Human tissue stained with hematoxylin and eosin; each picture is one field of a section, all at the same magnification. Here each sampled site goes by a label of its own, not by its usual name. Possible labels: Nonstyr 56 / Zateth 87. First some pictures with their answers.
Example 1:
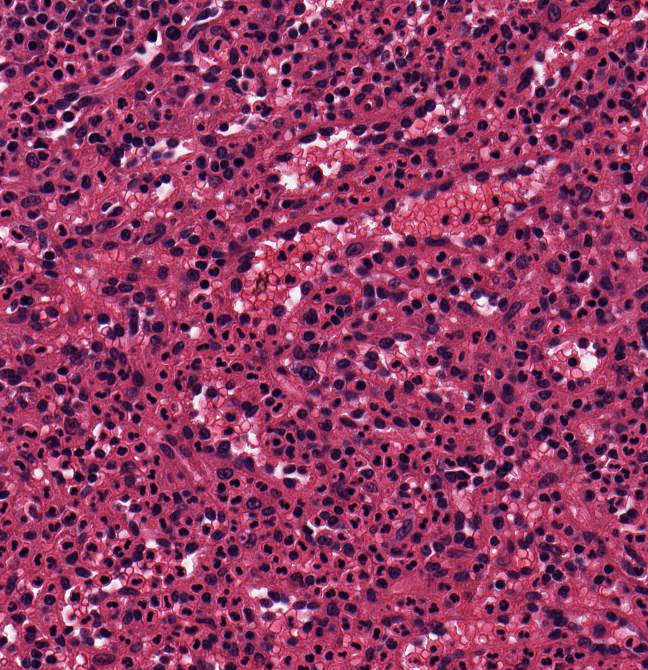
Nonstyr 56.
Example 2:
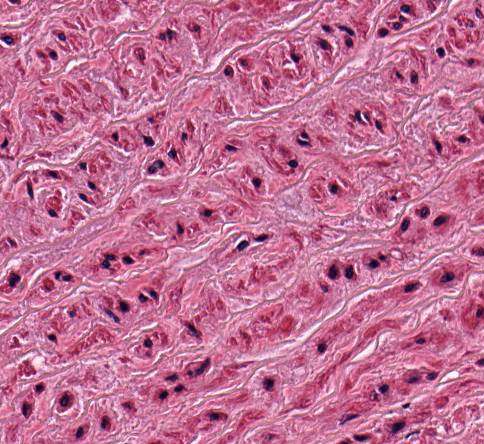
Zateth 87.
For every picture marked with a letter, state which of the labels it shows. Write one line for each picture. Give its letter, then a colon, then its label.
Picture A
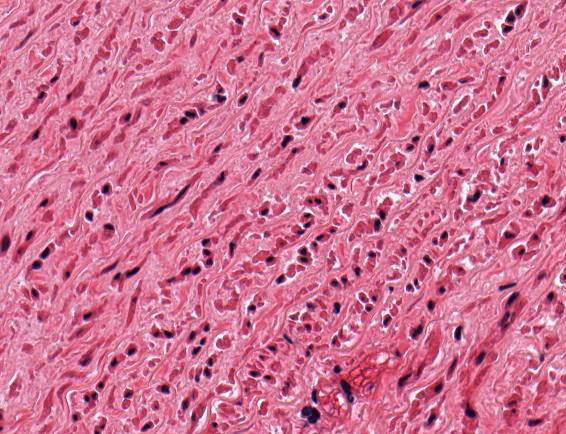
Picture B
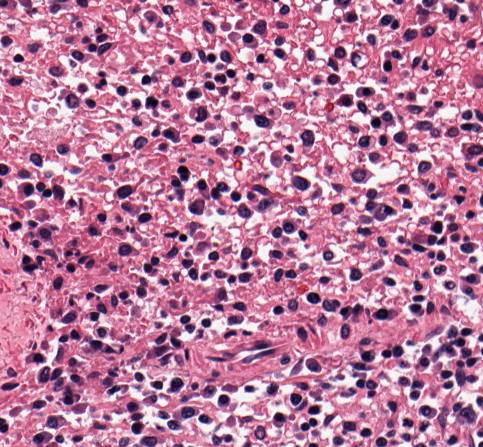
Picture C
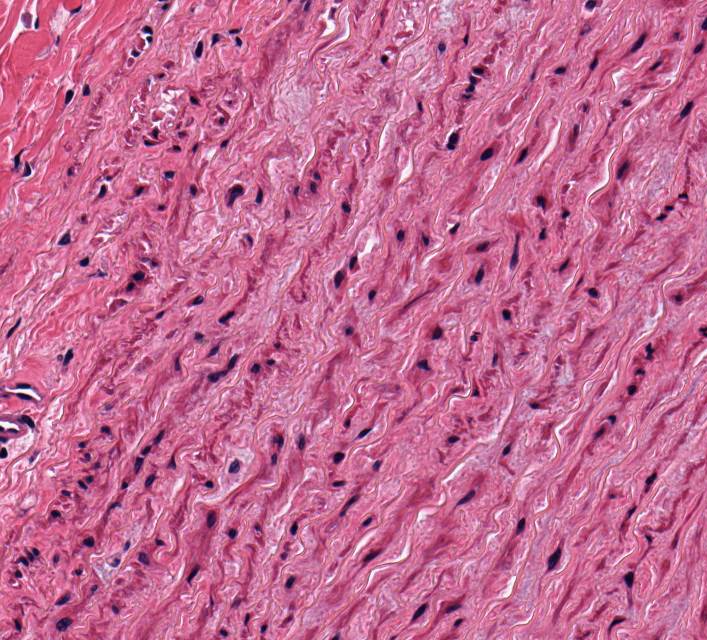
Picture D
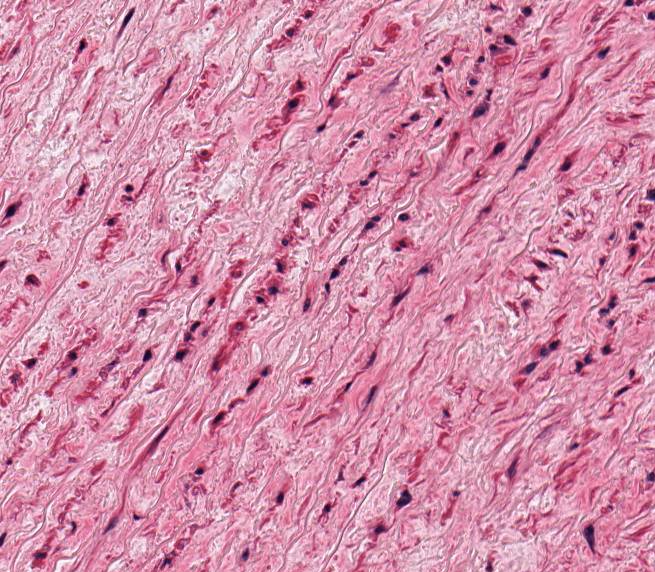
A: Zateth 87.
B: Nonstyr 56.
C: Zateth 87.
D: Zateth 87.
